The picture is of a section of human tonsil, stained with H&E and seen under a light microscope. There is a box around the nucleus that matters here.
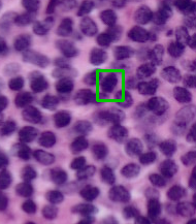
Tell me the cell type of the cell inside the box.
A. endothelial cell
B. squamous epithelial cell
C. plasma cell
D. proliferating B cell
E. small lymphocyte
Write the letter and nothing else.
E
